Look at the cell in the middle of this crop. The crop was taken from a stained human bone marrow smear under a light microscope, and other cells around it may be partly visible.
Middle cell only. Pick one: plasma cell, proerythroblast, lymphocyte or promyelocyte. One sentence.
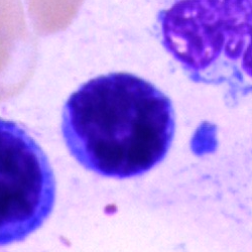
Of the cells in this crop, the central one is a lymphocyte.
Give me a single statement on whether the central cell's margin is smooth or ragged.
The edge of the cell is unbroken and smooth, bearing no projections.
